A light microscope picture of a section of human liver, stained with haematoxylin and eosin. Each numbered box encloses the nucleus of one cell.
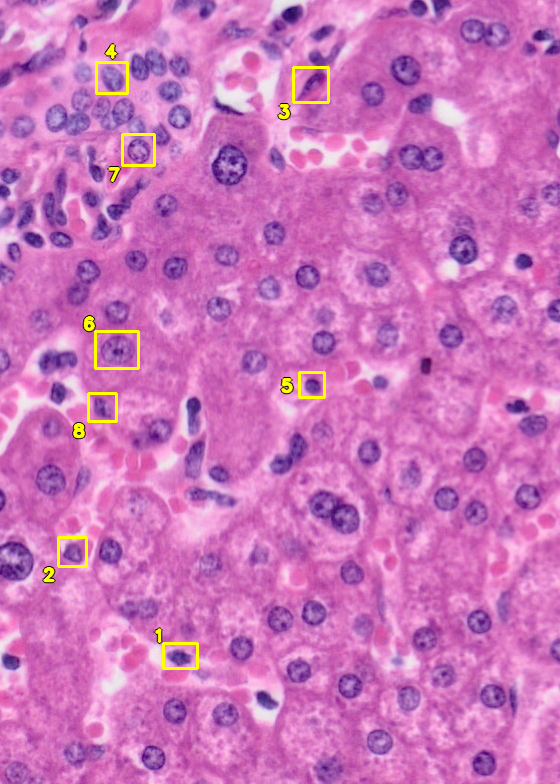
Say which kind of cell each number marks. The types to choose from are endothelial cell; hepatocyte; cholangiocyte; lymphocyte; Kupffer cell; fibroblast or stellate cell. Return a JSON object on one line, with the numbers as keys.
{"1": "lymphocyte", "2": "Kupffer cell", "3": "fibroblast or stellate cell", "4": "cholangiocyte", "5": "lymphocyte", "6": "hepatocyte", "7": "cholangiocyte", "8": "fibroblast or stellate cell"}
